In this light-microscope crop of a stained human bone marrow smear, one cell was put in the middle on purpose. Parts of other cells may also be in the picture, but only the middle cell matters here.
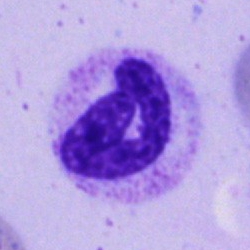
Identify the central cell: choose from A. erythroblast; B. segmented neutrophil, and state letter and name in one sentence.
The cell centred in the crop is a segmented neutrophil, and the correct option is thus B.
